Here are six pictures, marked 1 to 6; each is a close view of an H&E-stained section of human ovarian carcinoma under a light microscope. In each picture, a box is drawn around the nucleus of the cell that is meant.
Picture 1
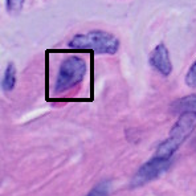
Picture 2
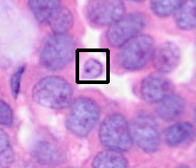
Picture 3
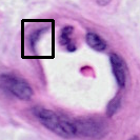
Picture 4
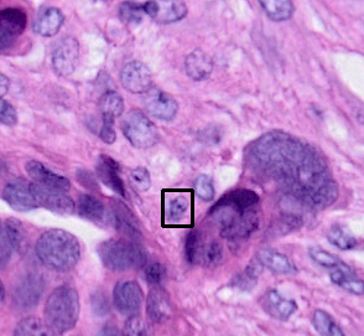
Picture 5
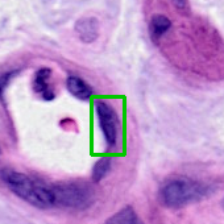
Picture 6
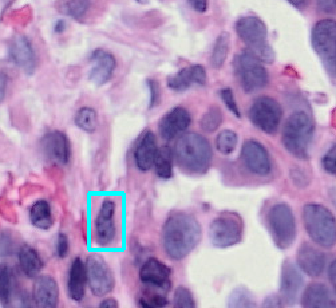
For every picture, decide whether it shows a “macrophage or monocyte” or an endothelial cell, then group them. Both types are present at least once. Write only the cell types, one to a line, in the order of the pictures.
endothelial cell
macrophage or monocyte
endothelial cell
macrophage or monocyte
endothelial cell
macrophage or monocyte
